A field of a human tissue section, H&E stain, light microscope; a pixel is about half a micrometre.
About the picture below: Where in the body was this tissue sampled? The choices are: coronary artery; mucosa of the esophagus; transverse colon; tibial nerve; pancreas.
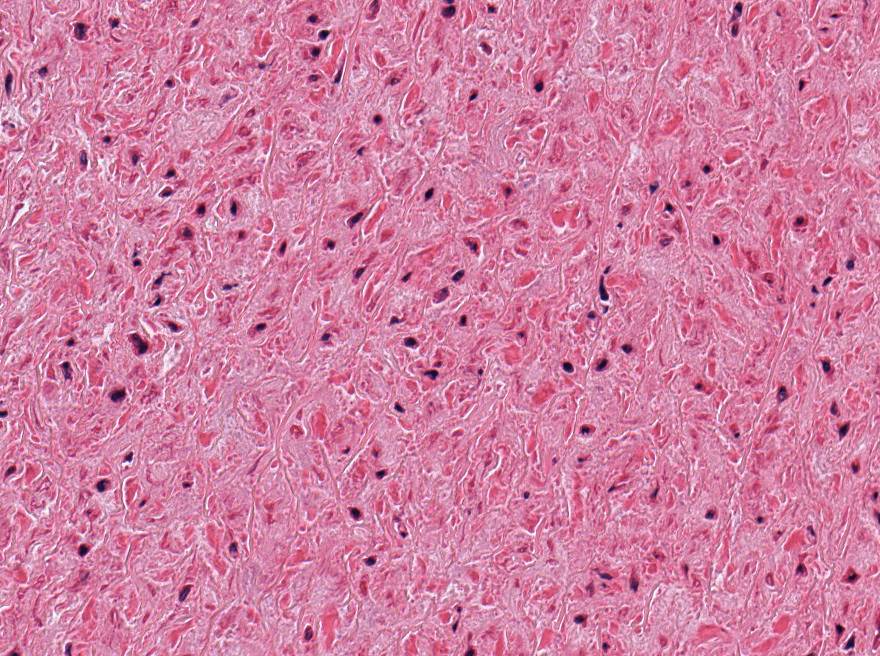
coronary artery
